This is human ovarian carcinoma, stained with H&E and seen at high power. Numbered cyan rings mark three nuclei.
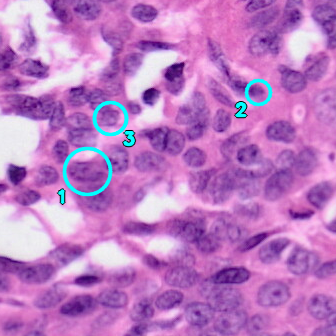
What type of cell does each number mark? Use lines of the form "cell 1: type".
cell 1: carcinoma cell
cell 2: endothelial cell
cell 3: macrophage or monocyte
